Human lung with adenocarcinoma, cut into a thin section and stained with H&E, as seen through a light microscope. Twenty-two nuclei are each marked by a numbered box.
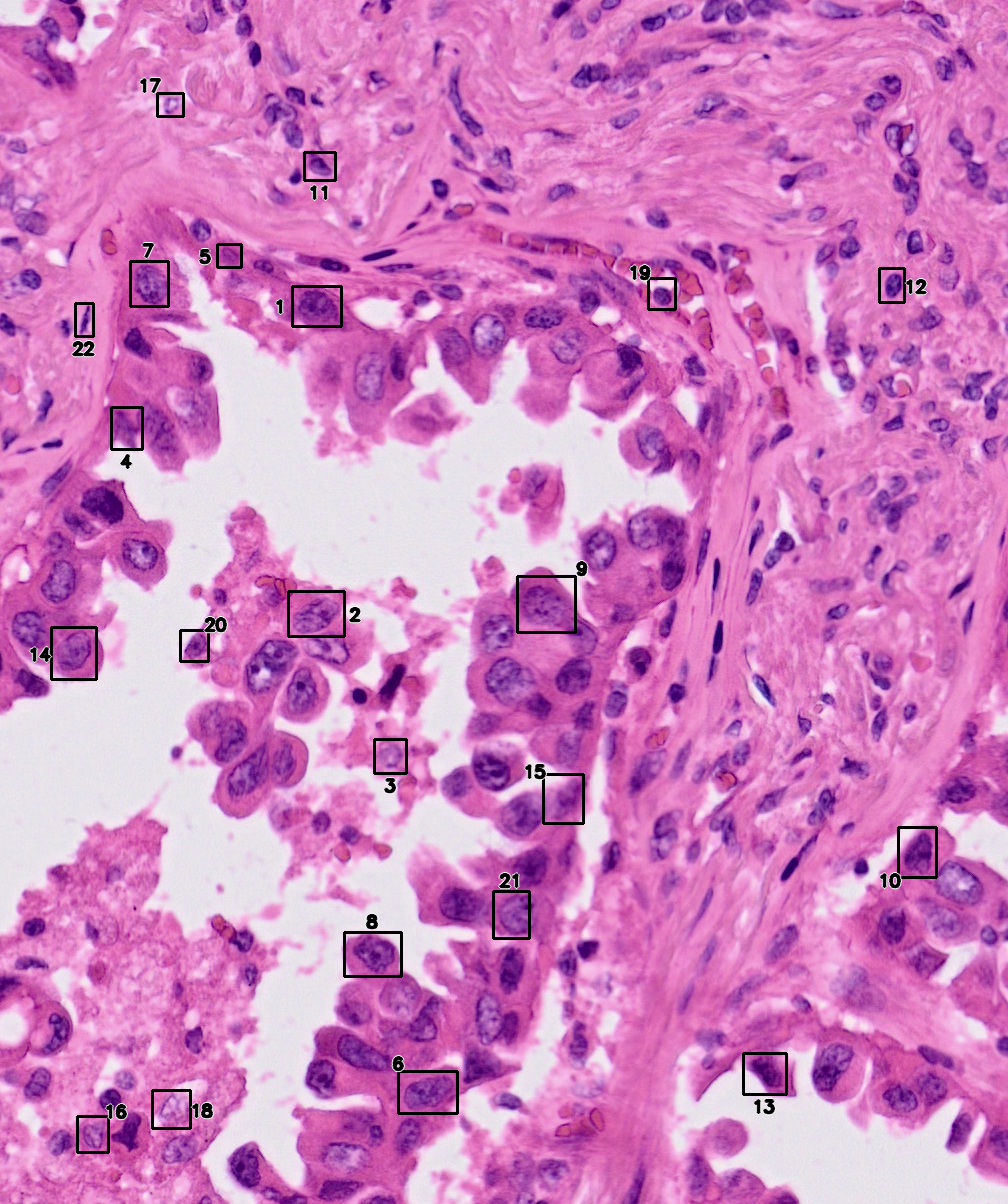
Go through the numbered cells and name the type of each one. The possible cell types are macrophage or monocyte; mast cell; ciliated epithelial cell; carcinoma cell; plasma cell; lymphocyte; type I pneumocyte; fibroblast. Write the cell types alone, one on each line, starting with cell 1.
carcinoma cell
carcinoma cell
macrophage or monocyte
carcinoma cell
macrophage or monocyte
carcinoma cell
carcinoma cell
carcinoma cell
carcinoma cell
carcinoma cell
plasma cell
lymphocyte
carcinoma cell
carcinoma cell
carcinoma cell
macrophage or monocyte
fibroblast
macrophage or monocyte
lymphocyte
macrophage or monocyte
carcinoma cell
fibroblast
